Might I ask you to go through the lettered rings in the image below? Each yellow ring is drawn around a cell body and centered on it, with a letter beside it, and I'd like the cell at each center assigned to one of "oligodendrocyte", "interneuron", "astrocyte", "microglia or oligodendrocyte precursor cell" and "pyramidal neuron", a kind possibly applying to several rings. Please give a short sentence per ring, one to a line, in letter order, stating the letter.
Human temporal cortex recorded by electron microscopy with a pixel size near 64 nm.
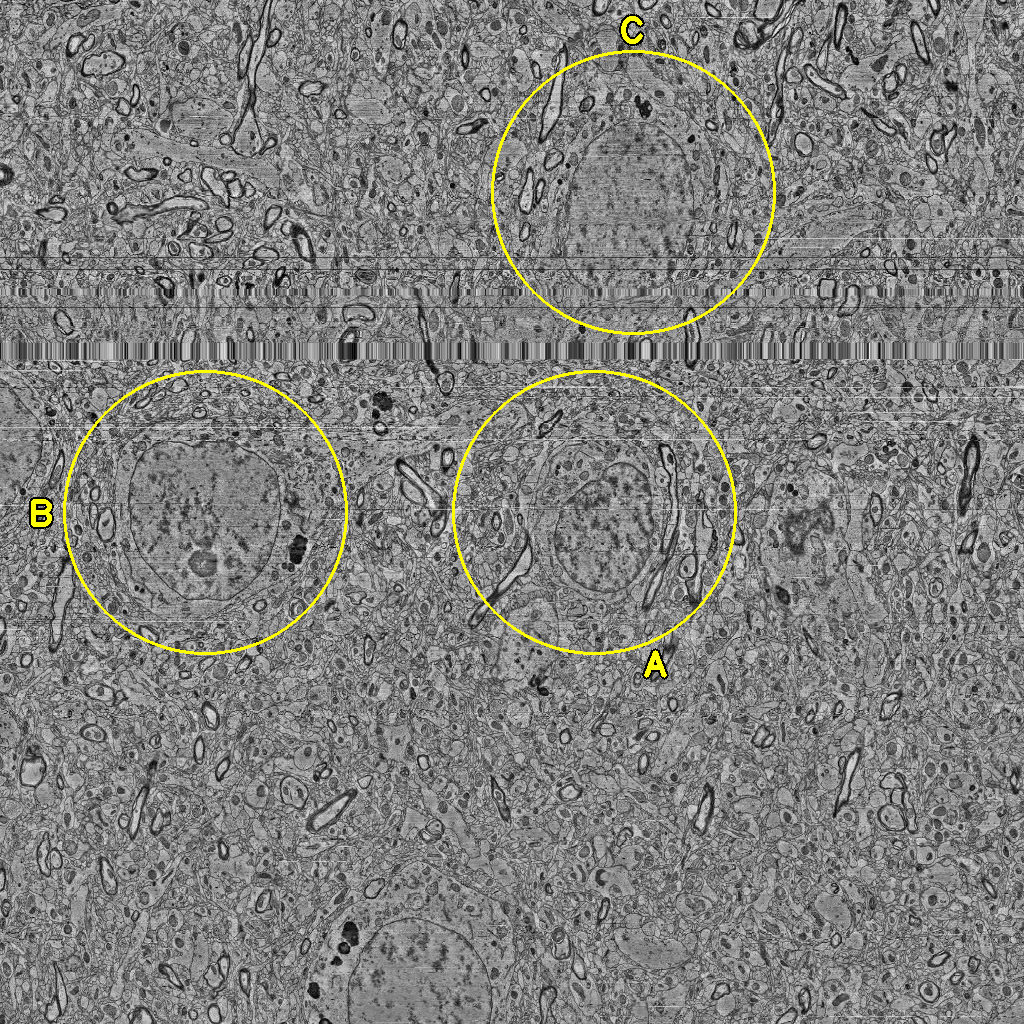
Ring A is centered on the body of an interneuron.
Ring B is centered on the body of a pyramidal neuron.
Ring C is centered on the body of an interneuron.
